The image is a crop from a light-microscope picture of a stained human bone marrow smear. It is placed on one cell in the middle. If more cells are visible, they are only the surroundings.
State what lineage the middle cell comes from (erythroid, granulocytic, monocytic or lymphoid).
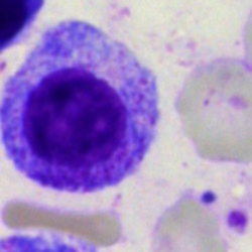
granulocytic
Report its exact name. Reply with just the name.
myelocyte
